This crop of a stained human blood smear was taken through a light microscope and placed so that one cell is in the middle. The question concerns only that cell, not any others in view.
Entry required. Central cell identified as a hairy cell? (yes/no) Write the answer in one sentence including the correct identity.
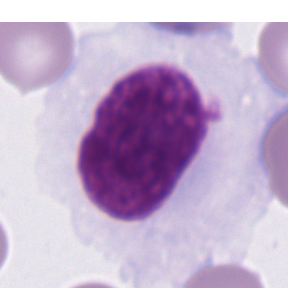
Yes, the cell at the center of the crop is a hairy cell.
